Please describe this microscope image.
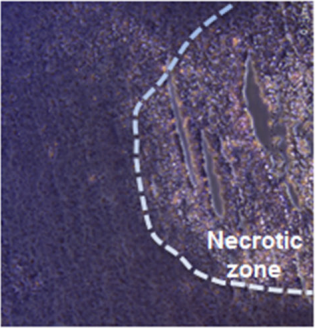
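Toward the upper right, a region bounded by a dashed line is paler and coarsely granular, with scattered bright specks. Within this paler region lie several elongated, clear, cleft-like spaces running roughly up and down.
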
